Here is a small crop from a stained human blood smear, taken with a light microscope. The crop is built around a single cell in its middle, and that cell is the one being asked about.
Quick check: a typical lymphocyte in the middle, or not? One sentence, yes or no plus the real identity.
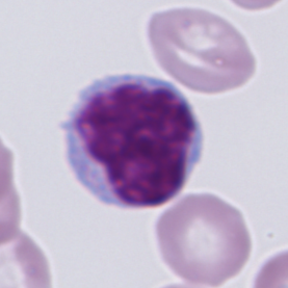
Yes, a typical lymphocyte is what the central cell is.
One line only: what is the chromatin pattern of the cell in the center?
Take a look at the chromatin, which is coarsely clumped.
